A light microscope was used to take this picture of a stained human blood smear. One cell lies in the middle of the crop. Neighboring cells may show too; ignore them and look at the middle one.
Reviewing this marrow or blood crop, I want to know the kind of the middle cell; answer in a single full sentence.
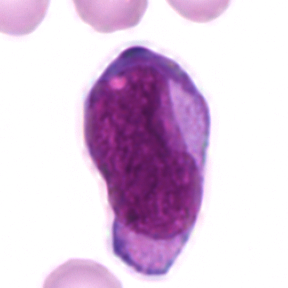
Classified as an atypical promyelocyte is the cell in the middle of this crop.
